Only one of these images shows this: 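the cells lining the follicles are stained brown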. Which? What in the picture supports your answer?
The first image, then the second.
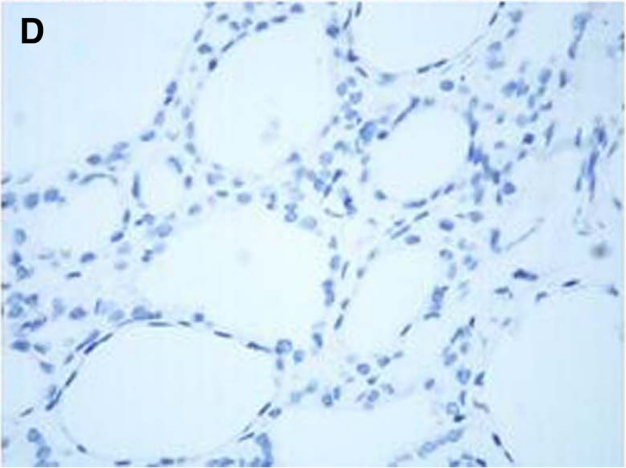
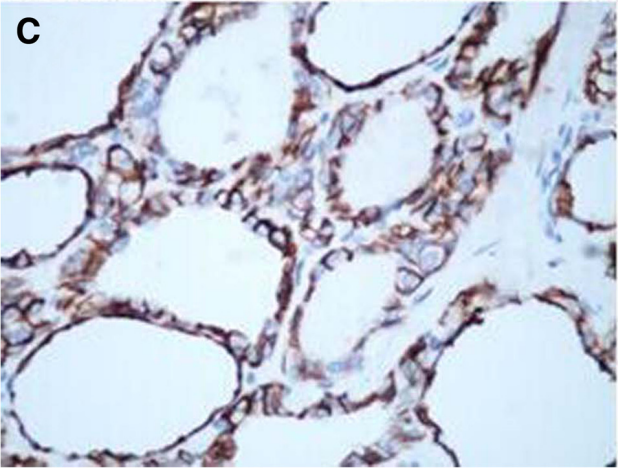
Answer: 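First image: follicle lining cells show only blue nuclei, no brown colour. Second image: follicle lining cells are outlined by strong brown stain. That points to this answer: the second image.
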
